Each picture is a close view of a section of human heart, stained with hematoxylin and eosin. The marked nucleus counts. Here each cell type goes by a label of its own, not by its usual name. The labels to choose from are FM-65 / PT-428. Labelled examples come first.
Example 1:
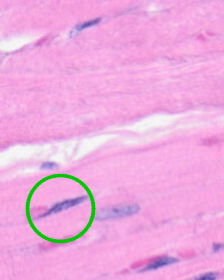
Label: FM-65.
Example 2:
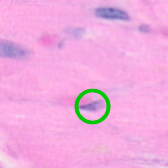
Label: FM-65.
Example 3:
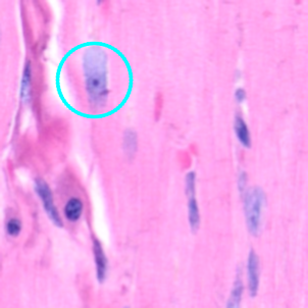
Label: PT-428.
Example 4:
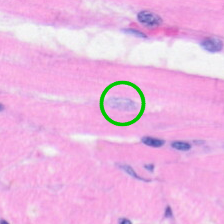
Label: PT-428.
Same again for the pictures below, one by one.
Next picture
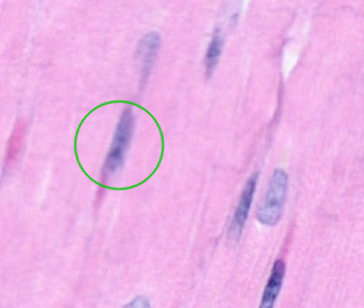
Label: FM-65.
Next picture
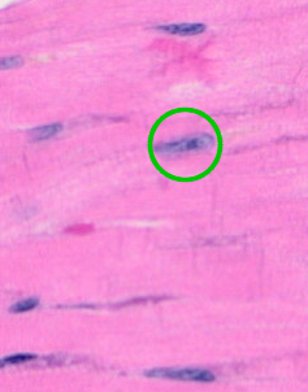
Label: PT-428.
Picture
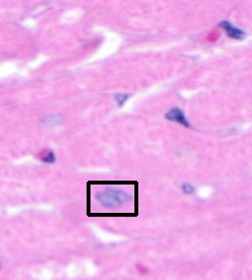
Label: PT-428.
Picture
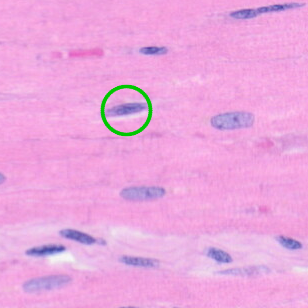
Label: FM-65.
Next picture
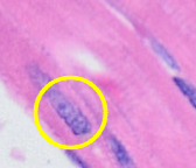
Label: PT-428.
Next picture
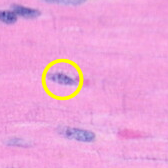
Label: FM-65.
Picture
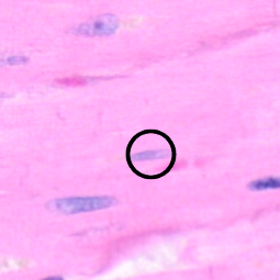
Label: PT-428.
